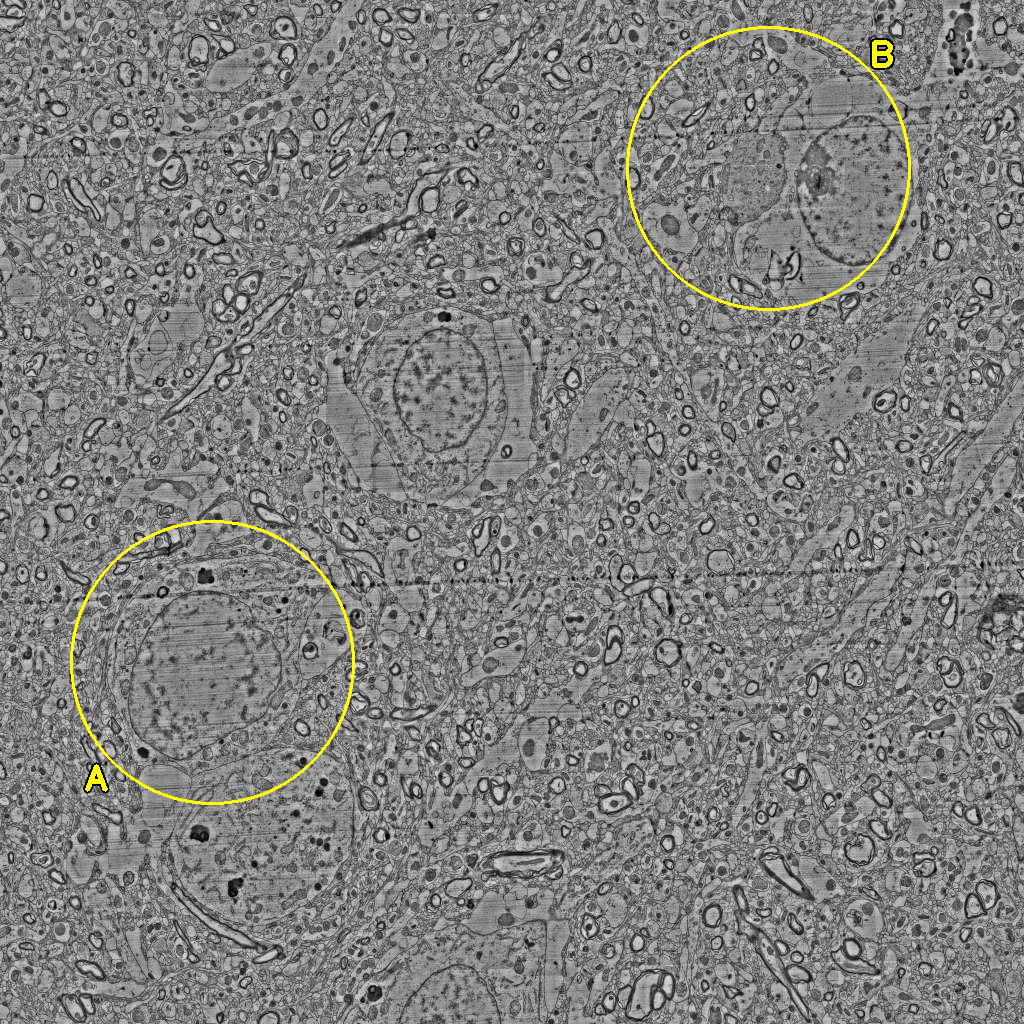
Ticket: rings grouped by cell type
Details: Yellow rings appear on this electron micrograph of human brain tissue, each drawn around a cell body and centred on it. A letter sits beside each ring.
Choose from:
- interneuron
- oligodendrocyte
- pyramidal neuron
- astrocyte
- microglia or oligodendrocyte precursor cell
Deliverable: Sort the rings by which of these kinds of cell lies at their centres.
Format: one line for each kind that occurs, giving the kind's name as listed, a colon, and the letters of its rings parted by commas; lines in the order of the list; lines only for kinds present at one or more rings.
oligodendrocyte: B
pyramidal neuron: A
